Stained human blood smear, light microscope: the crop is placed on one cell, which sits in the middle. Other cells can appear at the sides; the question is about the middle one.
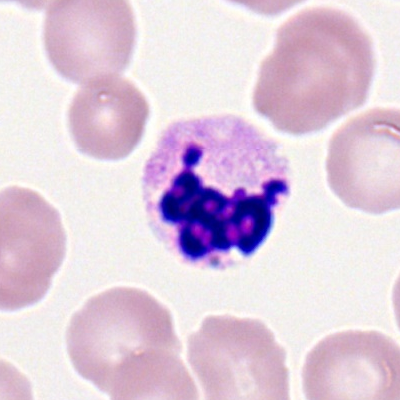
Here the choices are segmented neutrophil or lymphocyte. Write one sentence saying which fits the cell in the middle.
Of the cells in this crop, the central one is a segmented neutrophil.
